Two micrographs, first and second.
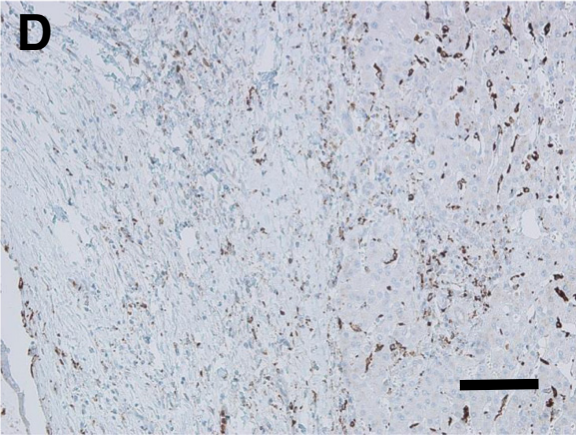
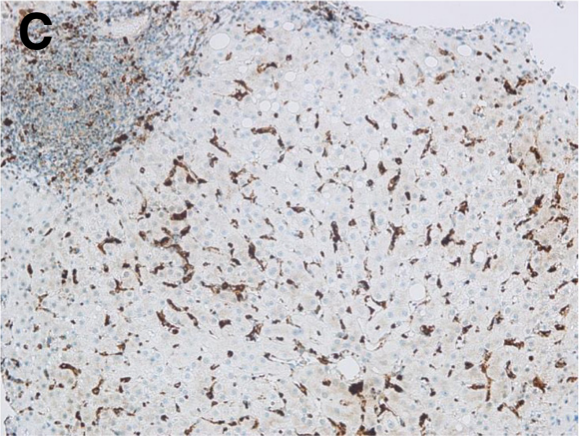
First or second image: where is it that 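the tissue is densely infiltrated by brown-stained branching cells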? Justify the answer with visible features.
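First image: brown branching cells are sparse and scattered, much of the field is pale fibrous tissue. Second image: brown branching cells are numerous and closely spaced throughout the liver parenchyma.
Conclusion: the second image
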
